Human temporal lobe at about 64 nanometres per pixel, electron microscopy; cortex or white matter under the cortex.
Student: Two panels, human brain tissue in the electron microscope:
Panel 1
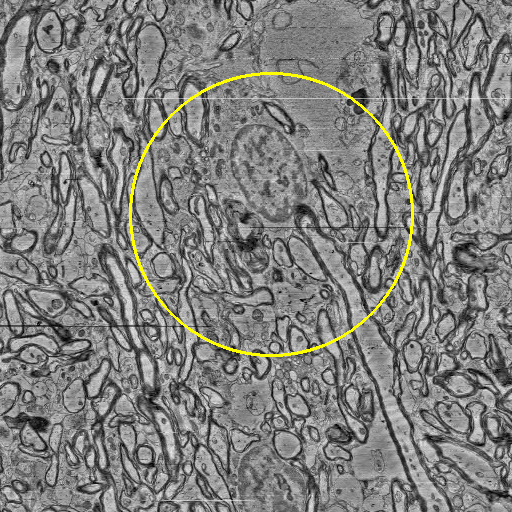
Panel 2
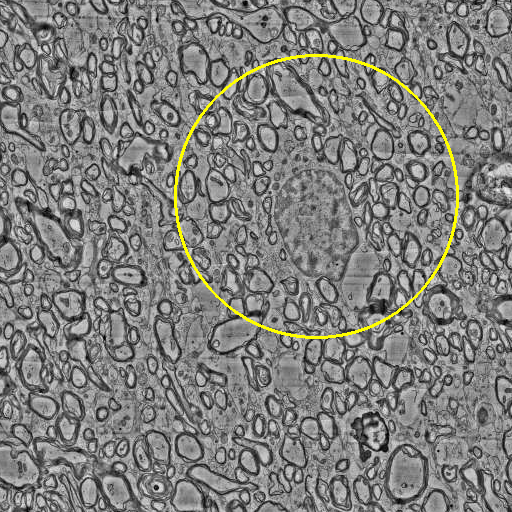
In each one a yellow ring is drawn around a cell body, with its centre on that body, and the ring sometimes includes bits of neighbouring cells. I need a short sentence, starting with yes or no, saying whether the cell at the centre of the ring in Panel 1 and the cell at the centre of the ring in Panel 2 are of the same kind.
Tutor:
Yes, they are the same kind of cell.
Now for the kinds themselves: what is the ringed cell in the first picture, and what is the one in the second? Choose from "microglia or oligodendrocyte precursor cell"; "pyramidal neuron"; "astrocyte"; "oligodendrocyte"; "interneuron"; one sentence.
In each picture the ringed cell is an oligodendrocyte.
